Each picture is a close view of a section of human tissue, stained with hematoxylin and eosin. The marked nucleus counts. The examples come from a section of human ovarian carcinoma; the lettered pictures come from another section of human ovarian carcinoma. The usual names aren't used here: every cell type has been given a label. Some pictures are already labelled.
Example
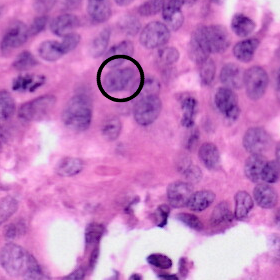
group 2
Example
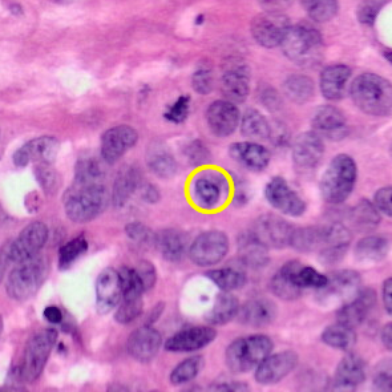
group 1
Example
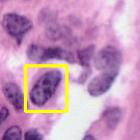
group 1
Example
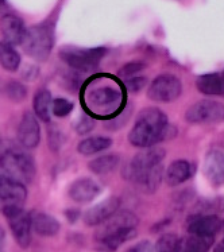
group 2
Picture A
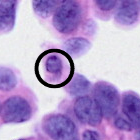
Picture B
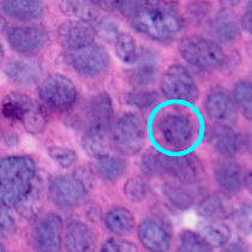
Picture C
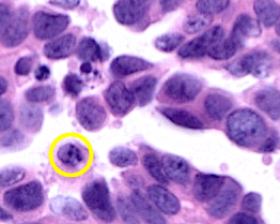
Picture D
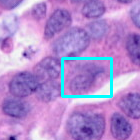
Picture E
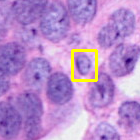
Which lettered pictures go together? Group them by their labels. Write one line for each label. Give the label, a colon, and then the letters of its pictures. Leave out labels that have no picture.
group 2: B, D
group 1: A, C, E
